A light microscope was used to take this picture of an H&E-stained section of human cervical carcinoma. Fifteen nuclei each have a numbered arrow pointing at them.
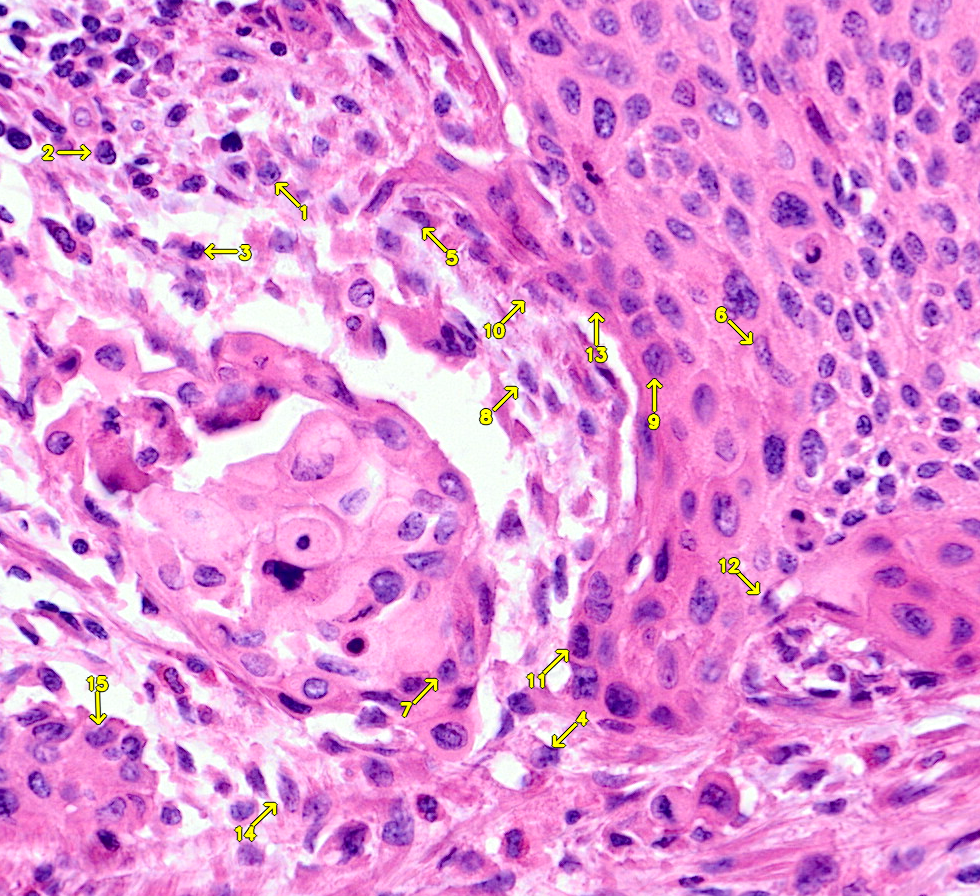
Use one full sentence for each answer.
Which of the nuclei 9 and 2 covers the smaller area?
Nucleus 2 covers less area, with nucleus 9 about 1.5 times as large.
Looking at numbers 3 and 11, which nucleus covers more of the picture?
Of the two, number 11 is bigger and takes up about 1.5 times the area of number 3.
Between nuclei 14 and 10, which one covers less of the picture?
Number 10 is smaller, since number 14 takes up about 2 times as much area.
